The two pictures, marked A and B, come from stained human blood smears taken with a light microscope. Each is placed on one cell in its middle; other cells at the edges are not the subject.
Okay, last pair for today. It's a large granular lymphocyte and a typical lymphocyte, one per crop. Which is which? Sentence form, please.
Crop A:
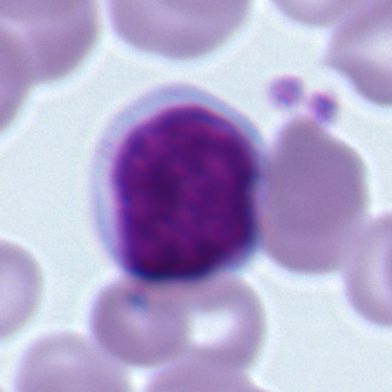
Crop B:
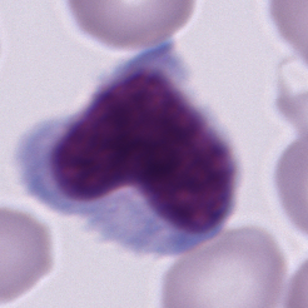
In crop A, a large granular lymphocyte is present; in crop B, a typical lymphocyte is present.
